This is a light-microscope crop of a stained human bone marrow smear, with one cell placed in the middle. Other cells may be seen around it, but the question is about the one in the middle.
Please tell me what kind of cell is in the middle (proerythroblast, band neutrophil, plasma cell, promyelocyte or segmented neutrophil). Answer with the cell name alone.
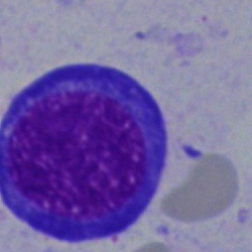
proerythroblast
